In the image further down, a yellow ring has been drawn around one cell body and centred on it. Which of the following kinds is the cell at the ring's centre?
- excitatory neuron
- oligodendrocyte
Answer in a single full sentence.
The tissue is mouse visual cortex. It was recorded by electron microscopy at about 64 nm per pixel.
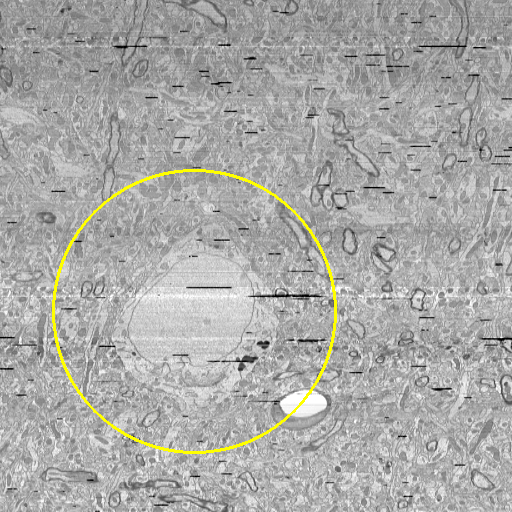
In the picture, the cell sitting at the centre of the yellow ring is an excitatory neuron.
